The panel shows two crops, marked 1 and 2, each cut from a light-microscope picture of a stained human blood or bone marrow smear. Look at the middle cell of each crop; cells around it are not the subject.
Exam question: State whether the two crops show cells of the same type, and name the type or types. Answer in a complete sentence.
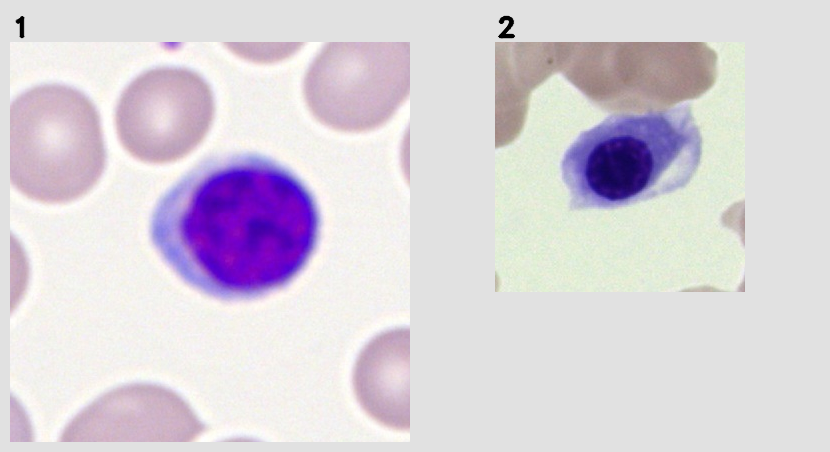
No: a lymphocyte sits in crop 1, and an erythroblast sits in crop 2.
